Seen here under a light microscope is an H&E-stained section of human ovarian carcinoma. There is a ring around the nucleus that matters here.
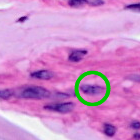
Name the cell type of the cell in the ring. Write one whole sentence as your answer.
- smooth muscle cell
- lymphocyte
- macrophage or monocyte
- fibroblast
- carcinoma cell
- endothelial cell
Within this tissue, the cell in the ring is a smooth muscle cell.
